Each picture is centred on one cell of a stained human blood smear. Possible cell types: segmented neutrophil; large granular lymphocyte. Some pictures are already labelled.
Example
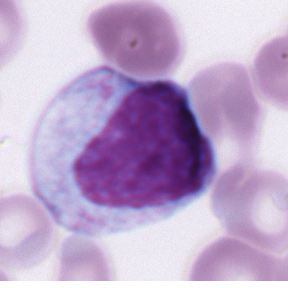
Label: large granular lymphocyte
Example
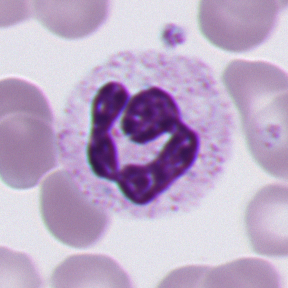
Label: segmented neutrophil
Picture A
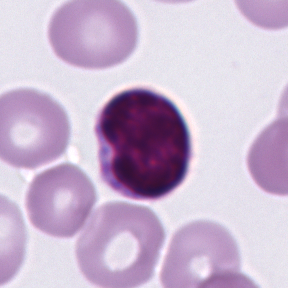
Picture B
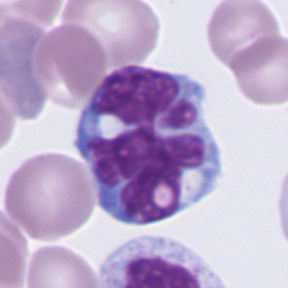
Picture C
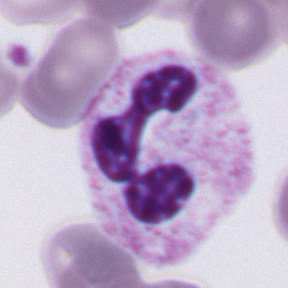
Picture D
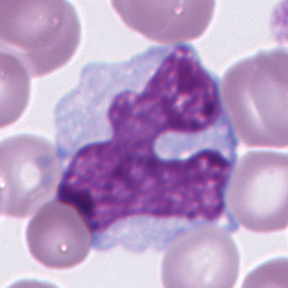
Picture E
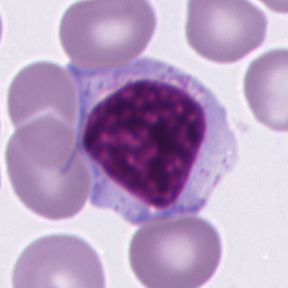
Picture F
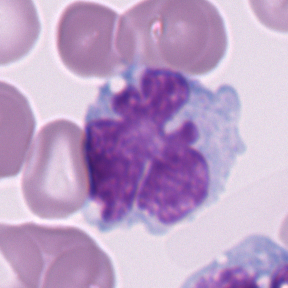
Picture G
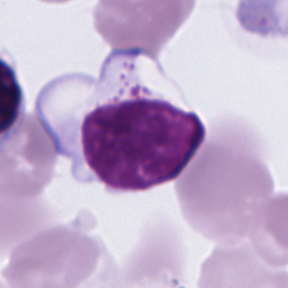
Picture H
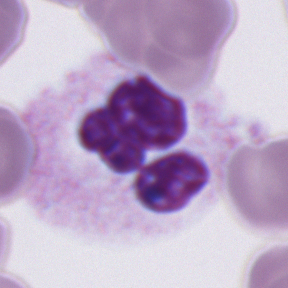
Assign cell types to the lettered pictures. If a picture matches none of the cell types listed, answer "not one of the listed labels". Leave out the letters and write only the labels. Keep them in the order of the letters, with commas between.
large granular lymphocyte, not one of the listed labels, segmented neutrophil, not one of the listed labels, large granular lymphocyte, not one of the listed labels, large granular lymphocyte, segmented neutrophil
